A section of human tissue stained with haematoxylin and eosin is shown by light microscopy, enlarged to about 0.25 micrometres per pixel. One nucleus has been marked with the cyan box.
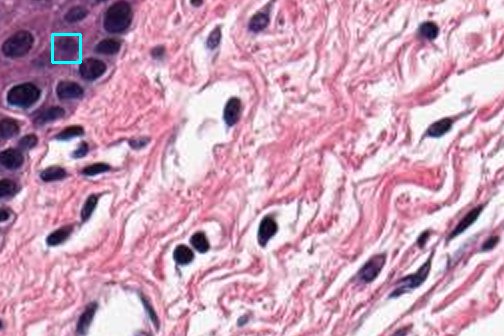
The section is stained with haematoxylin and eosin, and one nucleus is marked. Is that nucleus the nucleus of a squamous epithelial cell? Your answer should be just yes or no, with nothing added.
yes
